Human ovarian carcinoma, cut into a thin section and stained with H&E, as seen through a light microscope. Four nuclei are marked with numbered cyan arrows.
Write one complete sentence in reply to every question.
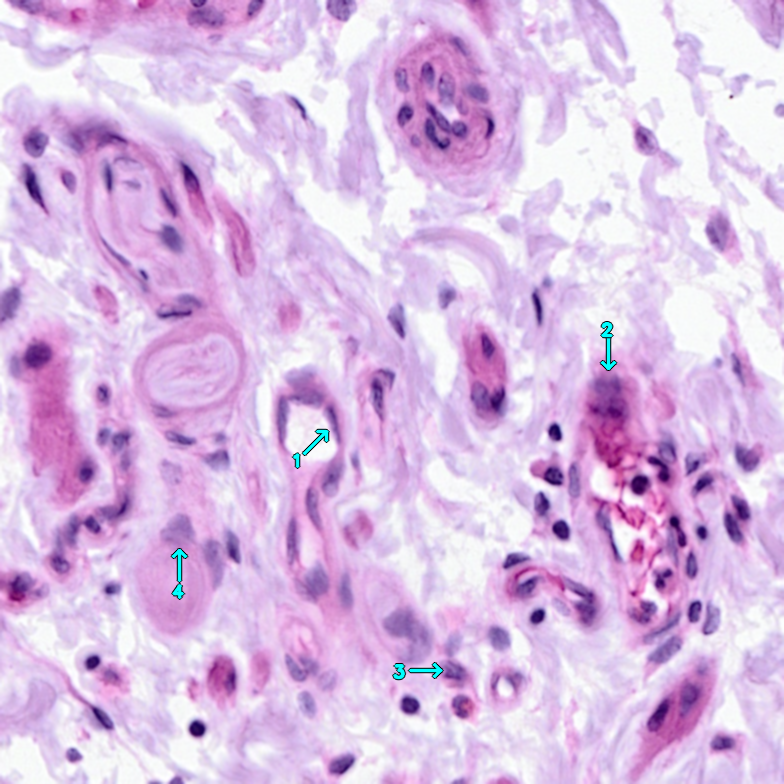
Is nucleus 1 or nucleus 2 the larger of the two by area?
At about 2.5 times the area of nucleus 1, nucleus 2 is the larger of the two.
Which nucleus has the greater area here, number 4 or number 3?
At about 2 times the area of nucleus 3, nucleus 4 is the larger of the two.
